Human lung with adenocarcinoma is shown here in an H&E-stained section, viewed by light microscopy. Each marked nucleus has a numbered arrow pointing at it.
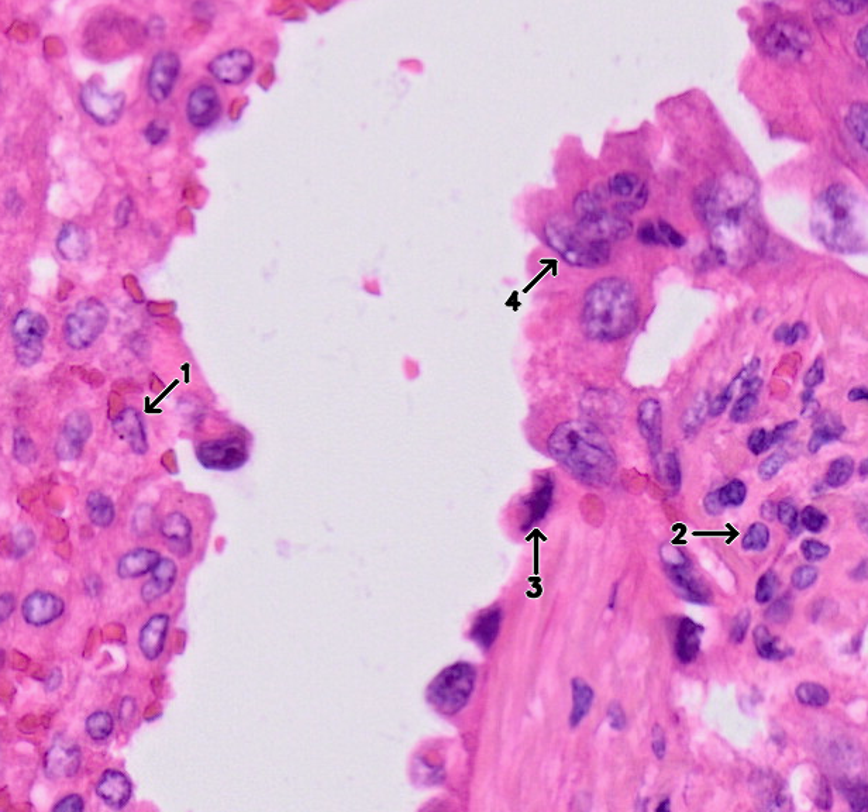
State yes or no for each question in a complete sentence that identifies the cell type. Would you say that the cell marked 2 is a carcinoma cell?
No, the cell identified by number 2 is a lymphocyte, not a carcinoma cell.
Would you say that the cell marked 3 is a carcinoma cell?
Yes, the numbered cell 3 is a carcinoma cell.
